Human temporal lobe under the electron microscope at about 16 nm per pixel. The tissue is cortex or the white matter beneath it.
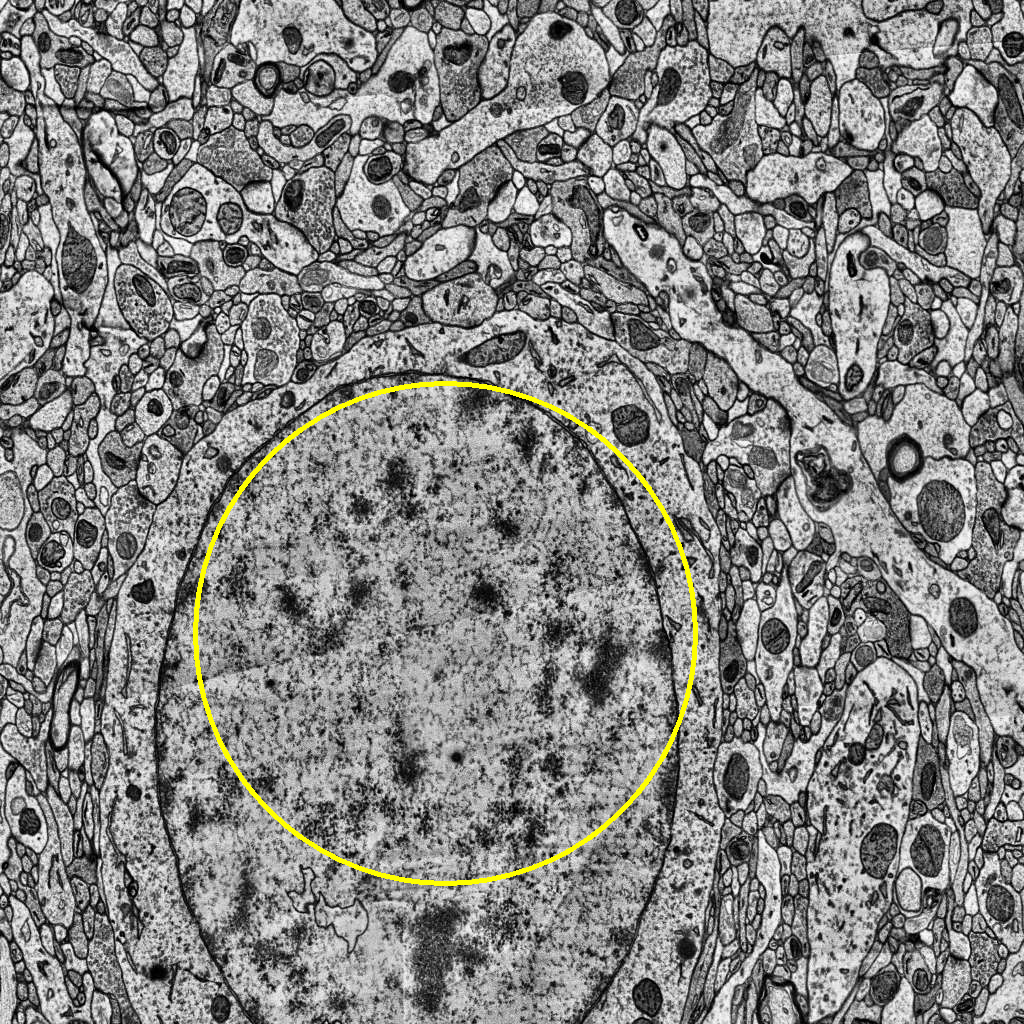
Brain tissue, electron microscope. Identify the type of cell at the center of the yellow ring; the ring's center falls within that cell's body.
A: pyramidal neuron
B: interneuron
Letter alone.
A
